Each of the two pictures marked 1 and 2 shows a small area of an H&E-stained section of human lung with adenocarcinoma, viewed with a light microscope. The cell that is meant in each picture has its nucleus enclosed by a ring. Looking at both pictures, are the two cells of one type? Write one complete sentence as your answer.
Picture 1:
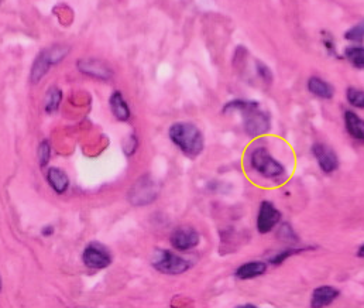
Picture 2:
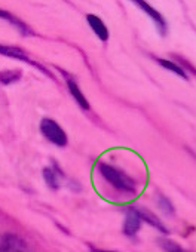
Yes; the cells in both pictures are plasma cells.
